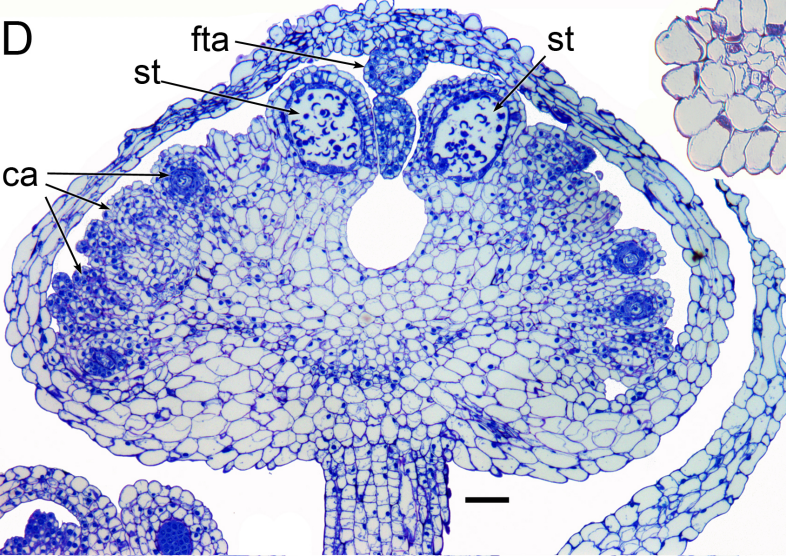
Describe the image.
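Longitudinal section of a later-stage flower showing two central anthers whose locules contain individual pollen grains, seen as separate small, curved, dark-outlined bodies lying free within a pale chamber bounded by a wall of a few cell layers. A narrow filamentous appendage of small cells extends down between the two anthers. The broad receptacle beneath is made of large, pale, vacuolated parenchyma cells, continuing into a stalk of elongated cells, and a thin tepal layer curves around the flower.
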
